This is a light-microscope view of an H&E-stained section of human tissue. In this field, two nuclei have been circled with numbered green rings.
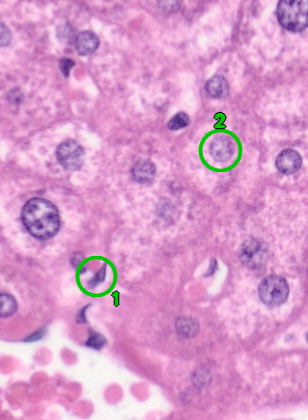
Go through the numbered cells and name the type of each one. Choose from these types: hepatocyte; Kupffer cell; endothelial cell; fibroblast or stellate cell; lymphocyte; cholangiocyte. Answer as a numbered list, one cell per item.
1. endothelial cell
2. hepatocyte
